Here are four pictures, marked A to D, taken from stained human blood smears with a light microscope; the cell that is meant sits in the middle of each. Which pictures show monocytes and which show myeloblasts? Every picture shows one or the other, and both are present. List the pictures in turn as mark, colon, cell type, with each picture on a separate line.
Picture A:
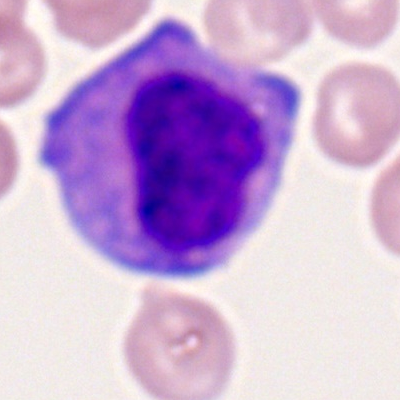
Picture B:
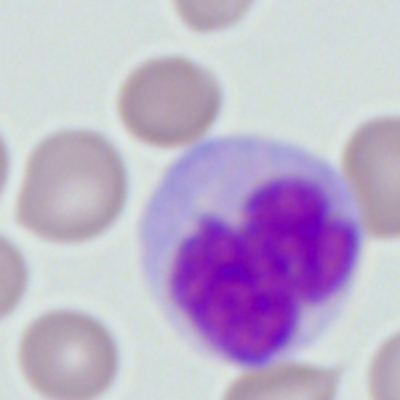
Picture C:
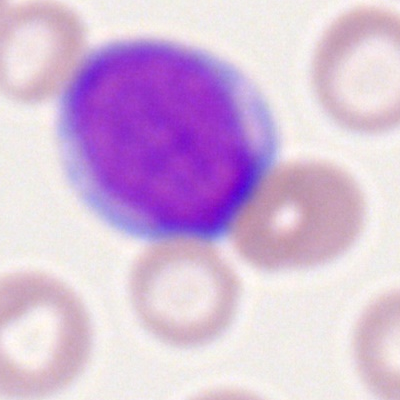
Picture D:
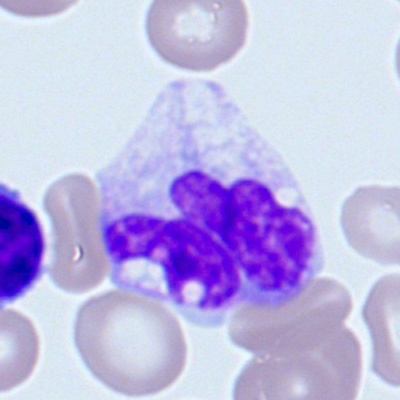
A: myeloblast
B: monocyte
C: myeloblast
D: monocyte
